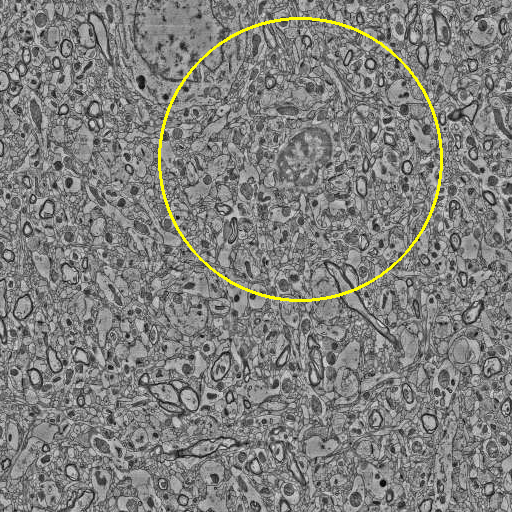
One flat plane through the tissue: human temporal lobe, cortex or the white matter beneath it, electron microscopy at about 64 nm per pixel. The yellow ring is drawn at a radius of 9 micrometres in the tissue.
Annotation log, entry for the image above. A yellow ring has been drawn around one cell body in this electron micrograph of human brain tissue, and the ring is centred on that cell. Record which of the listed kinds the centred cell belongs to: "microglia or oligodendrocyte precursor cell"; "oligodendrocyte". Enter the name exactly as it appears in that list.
oligodendrocyte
